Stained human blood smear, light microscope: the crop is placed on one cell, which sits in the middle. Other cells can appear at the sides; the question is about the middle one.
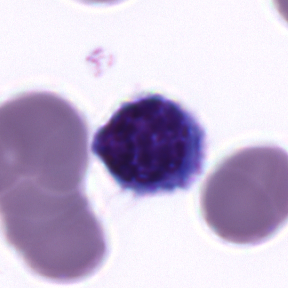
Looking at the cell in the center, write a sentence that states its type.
The cell at the heart of this crop is a plasma cell.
